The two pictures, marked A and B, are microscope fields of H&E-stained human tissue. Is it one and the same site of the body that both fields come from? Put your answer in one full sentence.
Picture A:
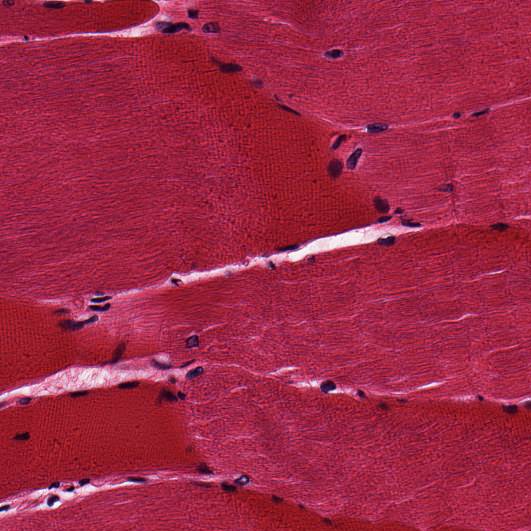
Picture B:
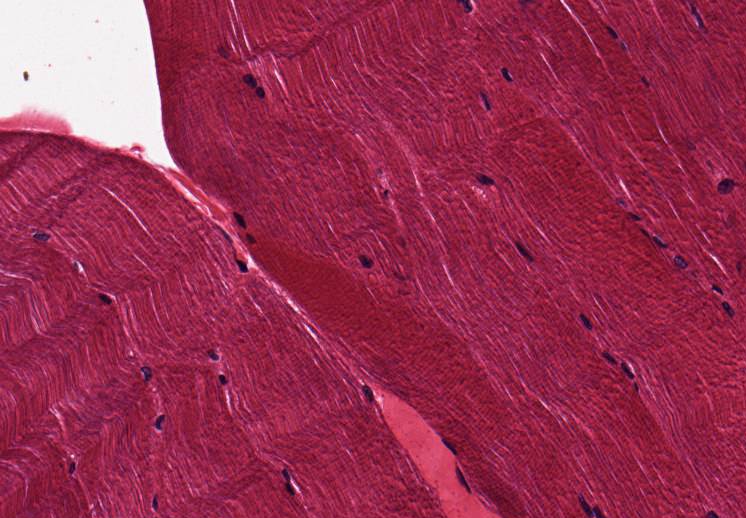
Yes, both come from skeletal muscle.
